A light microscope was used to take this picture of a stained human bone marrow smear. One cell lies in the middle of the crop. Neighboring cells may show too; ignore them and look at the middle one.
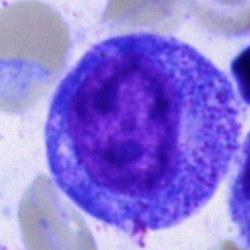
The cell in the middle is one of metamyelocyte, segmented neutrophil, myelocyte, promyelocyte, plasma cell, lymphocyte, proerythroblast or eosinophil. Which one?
promyelocyte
